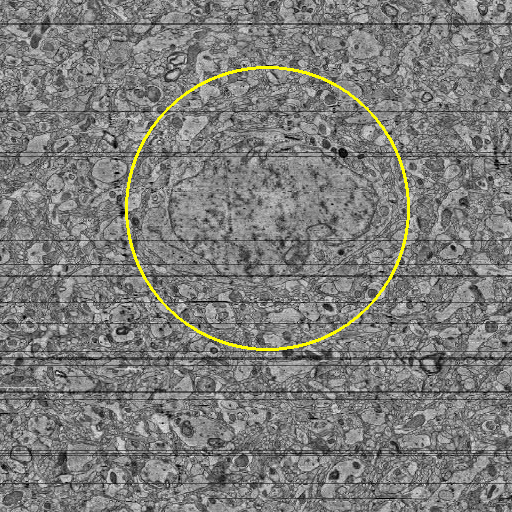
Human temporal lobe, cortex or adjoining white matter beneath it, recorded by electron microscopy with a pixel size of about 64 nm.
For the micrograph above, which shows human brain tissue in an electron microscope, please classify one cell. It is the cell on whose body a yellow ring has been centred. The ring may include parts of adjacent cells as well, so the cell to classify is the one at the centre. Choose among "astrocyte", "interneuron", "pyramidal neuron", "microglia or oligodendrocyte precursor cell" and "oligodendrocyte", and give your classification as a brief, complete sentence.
I classify this cell as an interneuron.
